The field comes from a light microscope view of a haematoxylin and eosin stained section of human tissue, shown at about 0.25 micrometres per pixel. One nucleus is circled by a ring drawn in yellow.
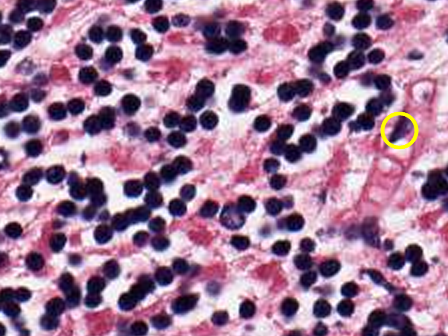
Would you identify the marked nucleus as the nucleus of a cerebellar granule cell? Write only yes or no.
no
